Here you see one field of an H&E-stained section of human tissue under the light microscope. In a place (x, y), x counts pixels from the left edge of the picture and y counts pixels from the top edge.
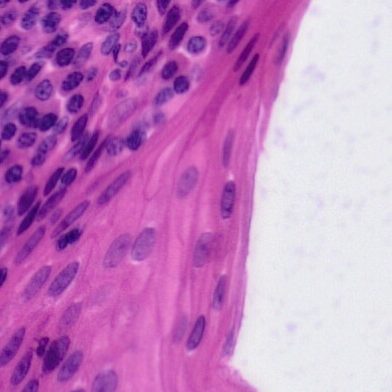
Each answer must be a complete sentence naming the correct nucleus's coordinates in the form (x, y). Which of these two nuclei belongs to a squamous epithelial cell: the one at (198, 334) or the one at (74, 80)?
As for which of the two, the nucleus at (198, 334) belongs to a squamous epithelial cell.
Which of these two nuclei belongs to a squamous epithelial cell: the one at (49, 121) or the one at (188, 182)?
The nucleus at (188, 182) is the member of the pair belonging to a squamous epithelial cell.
